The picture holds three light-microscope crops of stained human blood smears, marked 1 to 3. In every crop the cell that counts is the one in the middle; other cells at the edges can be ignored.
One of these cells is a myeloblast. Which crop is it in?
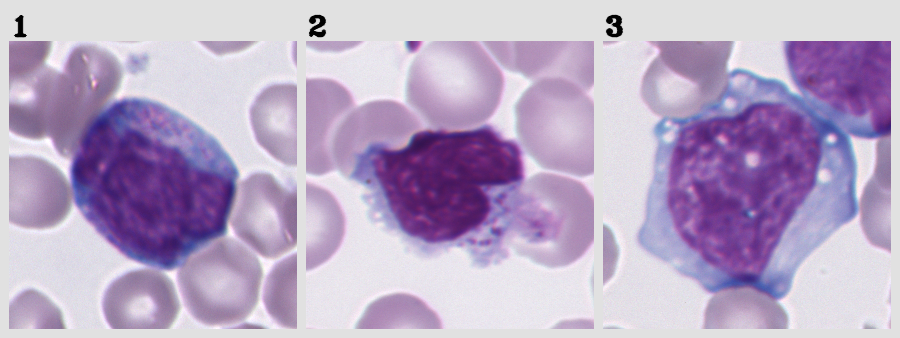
3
